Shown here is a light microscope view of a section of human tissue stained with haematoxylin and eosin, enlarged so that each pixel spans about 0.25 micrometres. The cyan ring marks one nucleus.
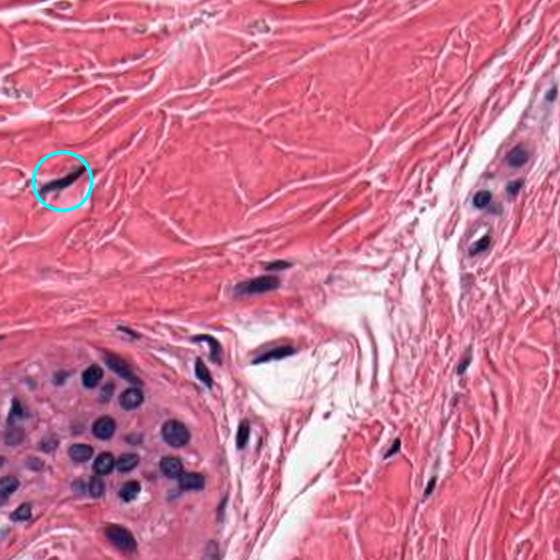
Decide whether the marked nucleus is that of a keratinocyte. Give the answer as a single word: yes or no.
no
